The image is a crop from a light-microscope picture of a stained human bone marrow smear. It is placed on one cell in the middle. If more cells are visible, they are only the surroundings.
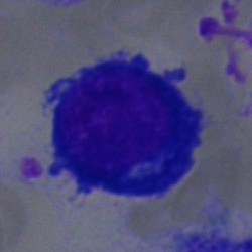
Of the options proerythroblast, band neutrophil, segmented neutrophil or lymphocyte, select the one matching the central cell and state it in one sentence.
The cell at the central position in this crop is a proerythroblast.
